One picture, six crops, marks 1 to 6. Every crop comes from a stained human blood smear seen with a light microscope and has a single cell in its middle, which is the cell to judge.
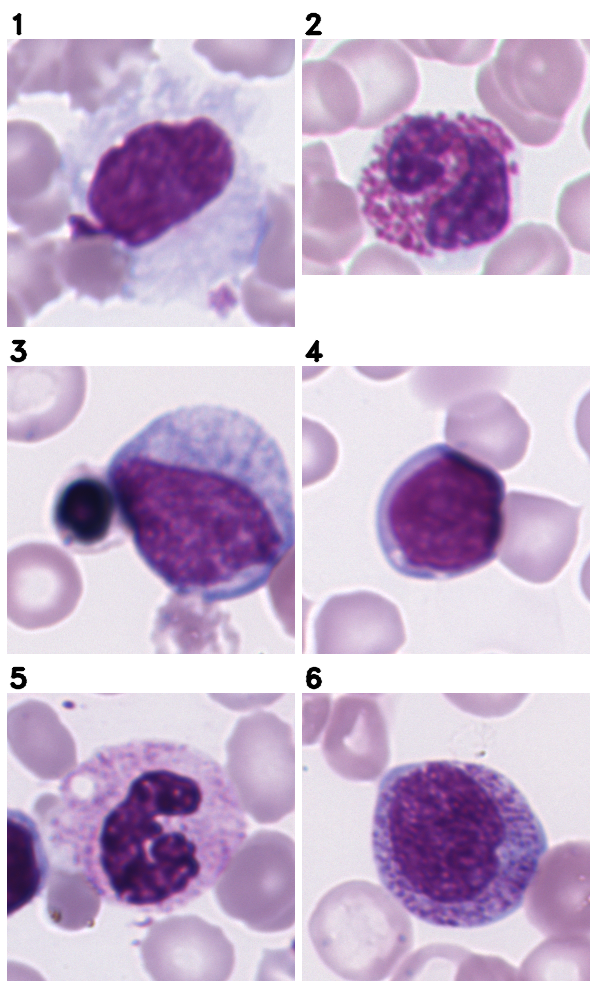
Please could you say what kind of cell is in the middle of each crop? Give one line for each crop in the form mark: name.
1: hairy cell
2: eosinophil
3: promyelocyte
4: typical lymphocyte
5: segmented neutrophil
6: promyelocyte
